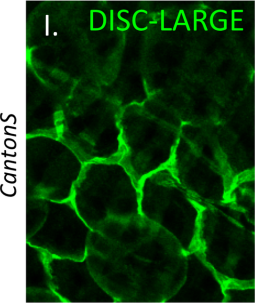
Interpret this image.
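The cells are broad and rounded to polygonal, and several appear larger than their neighbours. The green lines at their borders are thick and somewhat wavy, in places doubled or folded, while the cell interiors show only faint, even green. Nuclei are not shown. The borders are brighter and more tangled toward the centre and lower left of the field, and fainter toward the upper right, where the cells seem to lie in a slightly different plane.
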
